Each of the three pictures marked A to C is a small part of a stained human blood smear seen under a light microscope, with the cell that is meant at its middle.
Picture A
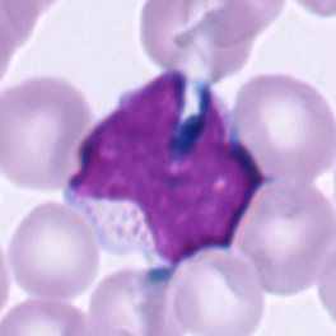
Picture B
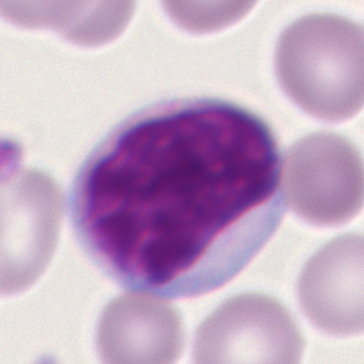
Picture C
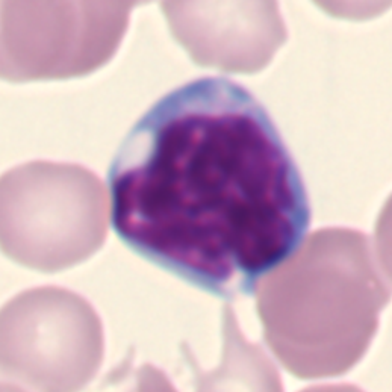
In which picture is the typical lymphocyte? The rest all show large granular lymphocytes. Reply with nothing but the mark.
C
